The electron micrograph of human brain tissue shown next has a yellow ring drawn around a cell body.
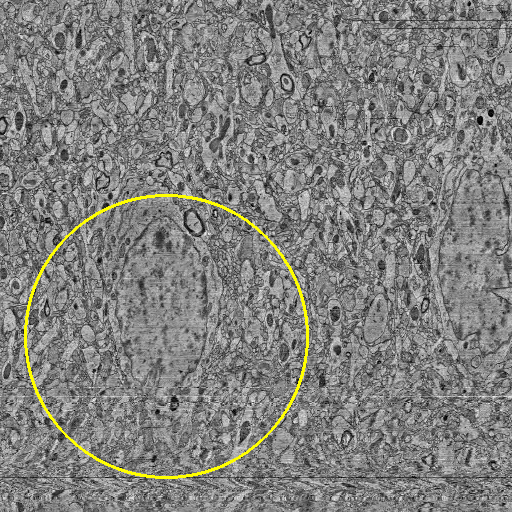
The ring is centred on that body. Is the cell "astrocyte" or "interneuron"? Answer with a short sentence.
The cell in question is an interneuron.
